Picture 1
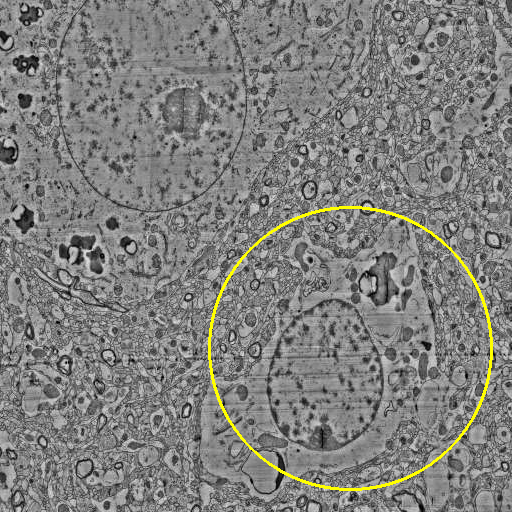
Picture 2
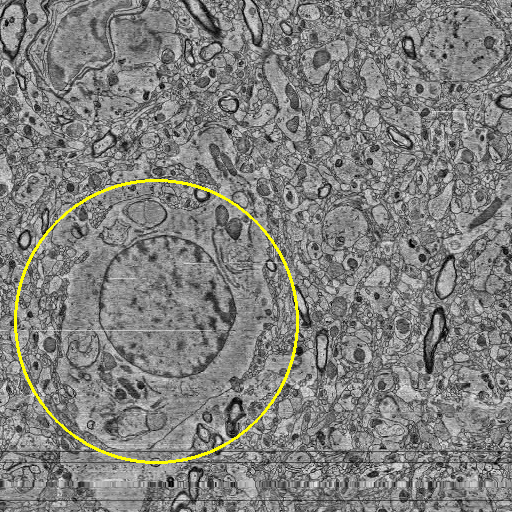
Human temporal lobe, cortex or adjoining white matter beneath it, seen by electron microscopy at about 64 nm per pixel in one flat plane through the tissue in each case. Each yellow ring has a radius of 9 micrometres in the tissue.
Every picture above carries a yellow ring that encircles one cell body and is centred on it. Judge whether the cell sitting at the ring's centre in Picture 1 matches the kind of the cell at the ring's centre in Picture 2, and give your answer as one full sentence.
Yes, the cells centred in the rings of Pictures 1 and 2 belong to one kind.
